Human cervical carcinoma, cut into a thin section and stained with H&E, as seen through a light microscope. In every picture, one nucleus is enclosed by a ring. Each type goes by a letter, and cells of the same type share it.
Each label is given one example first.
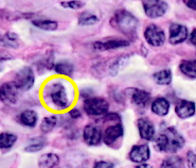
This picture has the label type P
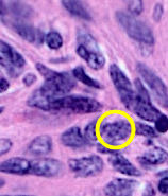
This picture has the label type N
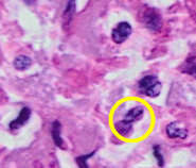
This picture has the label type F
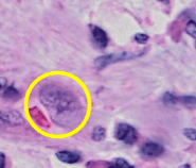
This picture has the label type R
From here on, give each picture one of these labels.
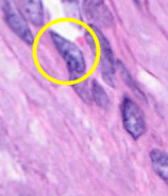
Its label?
type R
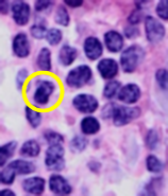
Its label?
type P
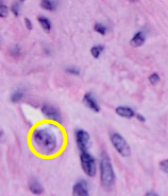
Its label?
type R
